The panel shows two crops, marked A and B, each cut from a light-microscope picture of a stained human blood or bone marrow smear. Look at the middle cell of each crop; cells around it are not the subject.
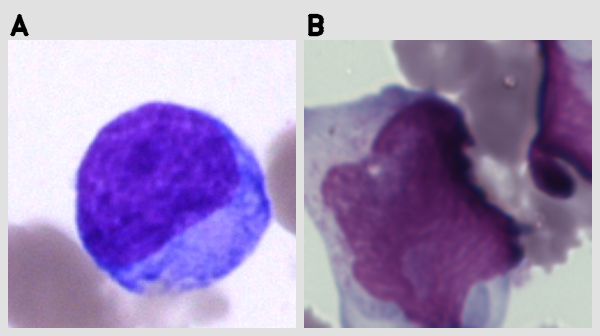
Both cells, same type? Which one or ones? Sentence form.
Yes, both crops show blasts as the central cells.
